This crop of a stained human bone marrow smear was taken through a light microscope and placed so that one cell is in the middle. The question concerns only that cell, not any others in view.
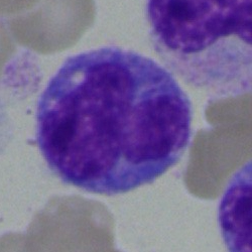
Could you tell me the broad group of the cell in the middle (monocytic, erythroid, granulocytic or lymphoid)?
monocytic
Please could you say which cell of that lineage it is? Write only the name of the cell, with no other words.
monocyte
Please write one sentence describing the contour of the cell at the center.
The membrane contour is even and smooth, with nothing projecting from it.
